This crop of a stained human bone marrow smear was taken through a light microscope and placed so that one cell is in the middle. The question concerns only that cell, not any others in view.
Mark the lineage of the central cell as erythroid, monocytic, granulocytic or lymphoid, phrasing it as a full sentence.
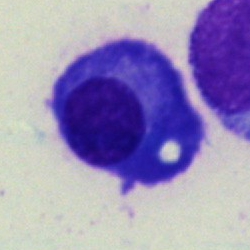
To the lymphoid lineage belongs the cell in the middle of the crop.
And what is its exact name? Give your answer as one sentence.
The cell at the central position in this crop is a plasma cell.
